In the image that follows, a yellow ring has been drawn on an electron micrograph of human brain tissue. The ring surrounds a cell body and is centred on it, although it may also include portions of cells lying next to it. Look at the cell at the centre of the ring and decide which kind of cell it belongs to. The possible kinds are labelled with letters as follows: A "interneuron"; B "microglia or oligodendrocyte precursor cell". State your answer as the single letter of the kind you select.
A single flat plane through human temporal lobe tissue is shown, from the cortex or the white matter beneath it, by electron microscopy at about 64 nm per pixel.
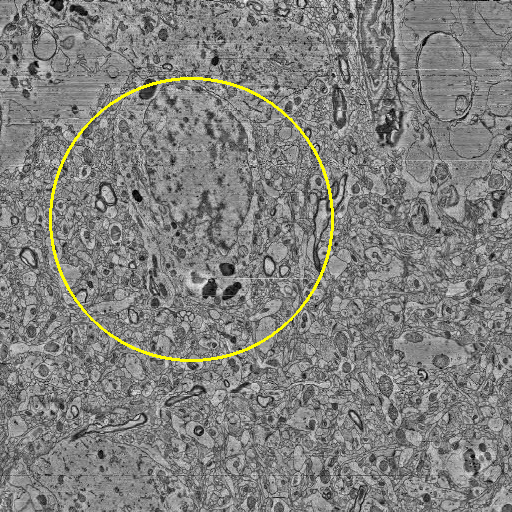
A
